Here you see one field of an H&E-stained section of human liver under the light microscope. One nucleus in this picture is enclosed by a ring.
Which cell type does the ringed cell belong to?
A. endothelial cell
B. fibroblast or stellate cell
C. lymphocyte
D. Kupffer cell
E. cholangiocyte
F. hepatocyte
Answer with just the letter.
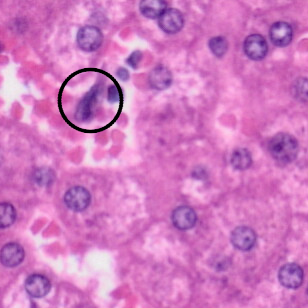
D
